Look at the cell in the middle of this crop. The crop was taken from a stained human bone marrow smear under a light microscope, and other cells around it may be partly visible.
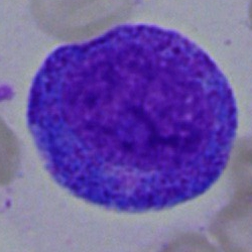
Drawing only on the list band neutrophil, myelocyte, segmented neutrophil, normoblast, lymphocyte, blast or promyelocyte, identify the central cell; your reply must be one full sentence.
The cell positioned in the middle of the field is a promyelocyte.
